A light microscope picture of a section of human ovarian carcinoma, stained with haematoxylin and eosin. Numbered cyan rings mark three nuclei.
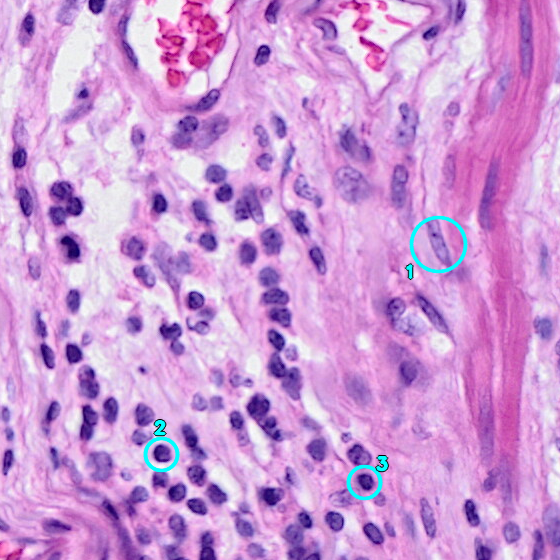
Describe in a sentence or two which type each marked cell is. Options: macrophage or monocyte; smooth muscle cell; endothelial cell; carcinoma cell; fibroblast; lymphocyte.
Cell 1 is a fibroblast, cell 2 is a lymphocyte and cell 3 is a lymphocyte.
